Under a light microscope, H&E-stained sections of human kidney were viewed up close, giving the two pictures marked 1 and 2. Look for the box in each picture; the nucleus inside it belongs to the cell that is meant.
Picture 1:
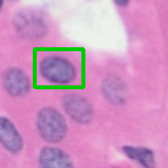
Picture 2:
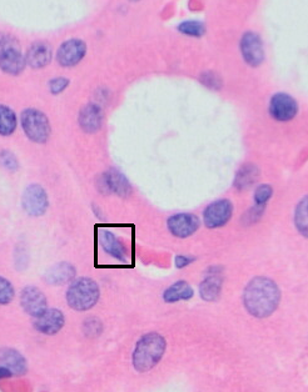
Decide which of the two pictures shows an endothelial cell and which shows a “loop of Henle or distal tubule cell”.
1: loop of Henle or distal tubule cell
2: endothelial cell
